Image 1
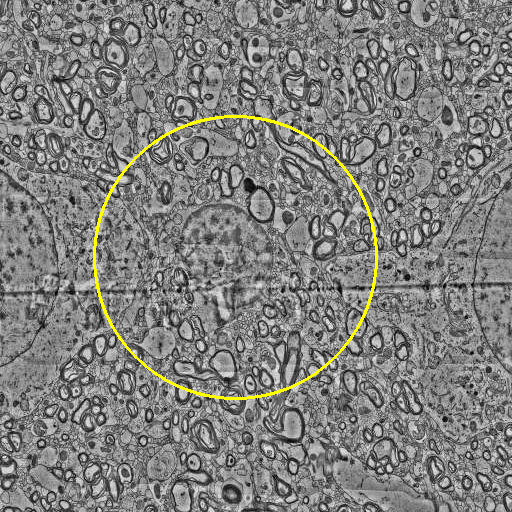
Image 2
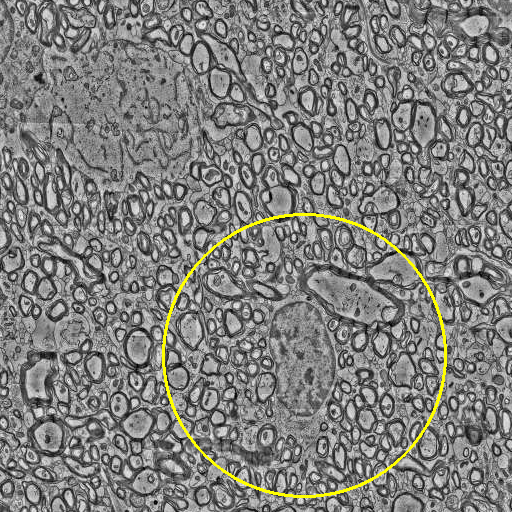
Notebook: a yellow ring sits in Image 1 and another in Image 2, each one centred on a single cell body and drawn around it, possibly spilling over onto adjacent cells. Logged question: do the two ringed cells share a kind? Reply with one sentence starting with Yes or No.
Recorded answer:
Yes, both centre cells inside the rings of Image 1 and Image 2 share one kind.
